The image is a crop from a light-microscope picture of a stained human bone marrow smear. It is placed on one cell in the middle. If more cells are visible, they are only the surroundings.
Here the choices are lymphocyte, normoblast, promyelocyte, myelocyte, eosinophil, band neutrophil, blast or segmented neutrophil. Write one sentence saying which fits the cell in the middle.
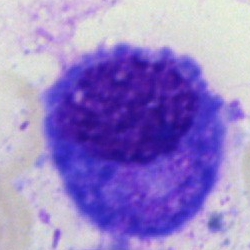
This crop is built around a promyelocyte at its centre.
